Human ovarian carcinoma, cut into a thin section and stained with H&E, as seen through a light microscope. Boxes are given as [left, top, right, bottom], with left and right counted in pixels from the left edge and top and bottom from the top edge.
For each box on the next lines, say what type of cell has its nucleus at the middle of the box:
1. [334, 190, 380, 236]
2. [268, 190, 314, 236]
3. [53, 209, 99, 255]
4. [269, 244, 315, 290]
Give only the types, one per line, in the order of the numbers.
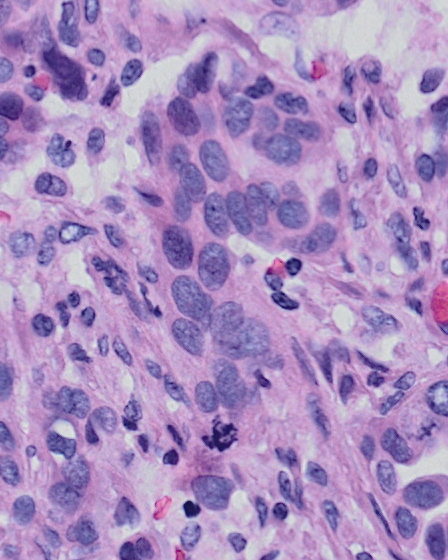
fibroblast
carcinoma cell
fibroblast
lymphocyte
